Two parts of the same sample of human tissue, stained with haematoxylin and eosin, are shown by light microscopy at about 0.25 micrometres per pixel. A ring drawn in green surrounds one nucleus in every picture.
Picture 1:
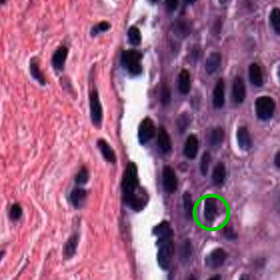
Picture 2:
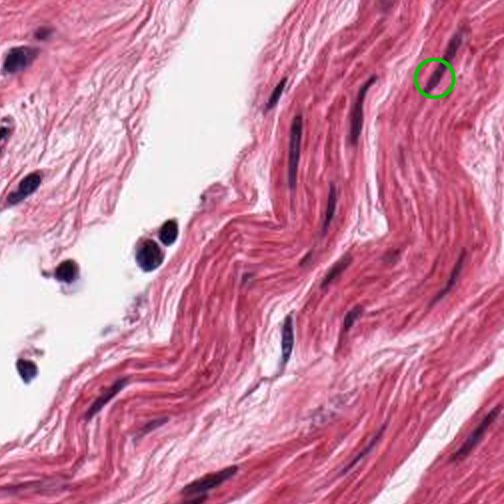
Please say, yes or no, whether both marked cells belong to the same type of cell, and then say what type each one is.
No, the first is a squamous epithelial cell and the second a smooth muscle cell.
